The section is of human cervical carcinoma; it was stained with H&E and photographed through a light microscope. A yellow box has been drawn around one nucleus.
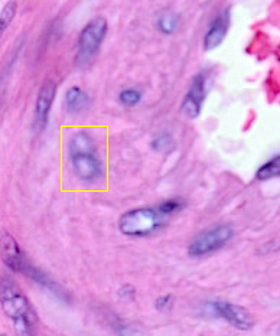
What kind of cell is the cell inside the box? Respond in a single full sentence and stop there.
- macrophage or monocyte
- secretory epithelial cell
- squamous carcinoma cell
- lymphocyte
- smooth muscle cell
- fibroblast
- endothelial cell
Histopathologically, the cell inside the box is a smooth muscle cell.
